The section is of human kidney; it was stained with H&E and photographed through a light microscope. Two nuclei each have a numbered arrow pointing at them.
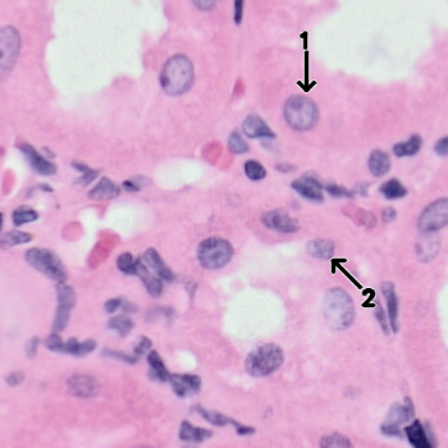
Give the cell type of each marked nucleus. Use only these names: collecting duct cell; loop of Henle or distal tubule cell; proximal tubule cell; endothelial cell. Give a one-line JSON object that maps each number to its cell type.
{"1": "proximal tubule cell", "2": "loop of Henle or distal tubule cell"}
